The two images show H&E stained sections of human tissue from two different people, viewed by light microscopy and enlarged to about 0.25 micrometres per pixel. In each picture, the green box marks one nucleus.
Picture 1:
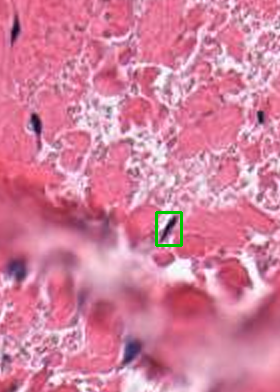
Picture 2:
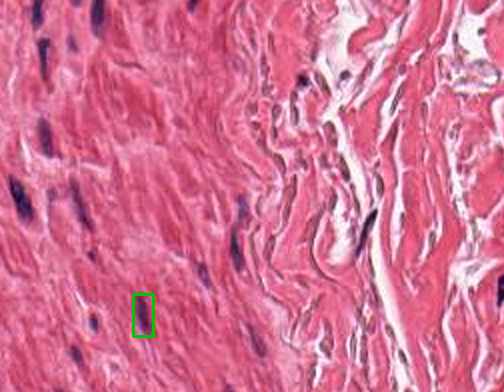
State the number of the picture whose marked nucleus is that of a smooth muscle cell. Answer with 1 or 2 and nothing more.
2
